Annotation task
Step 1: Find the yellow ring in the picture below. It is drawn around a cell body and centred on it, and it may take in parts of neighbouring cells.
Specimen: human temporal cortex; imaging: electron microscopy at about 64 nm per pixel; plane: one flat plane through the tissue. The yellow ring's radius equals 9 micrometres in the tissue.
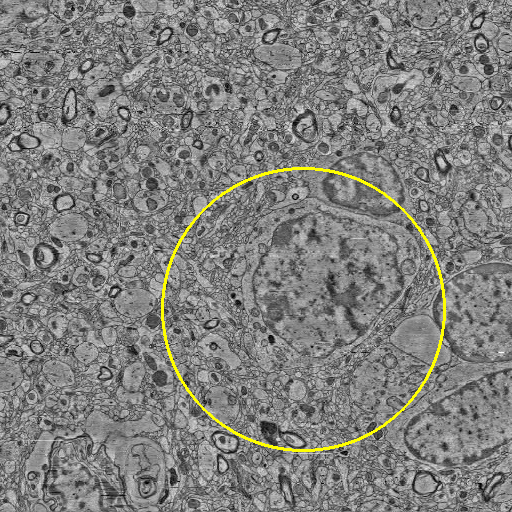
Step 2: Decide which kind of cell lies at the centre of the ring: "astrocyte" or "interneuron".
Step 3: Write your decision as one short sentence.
The kind of cell at the ring's centre is an interneuron.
